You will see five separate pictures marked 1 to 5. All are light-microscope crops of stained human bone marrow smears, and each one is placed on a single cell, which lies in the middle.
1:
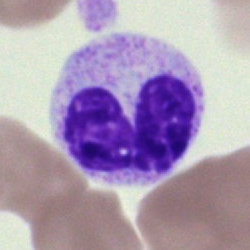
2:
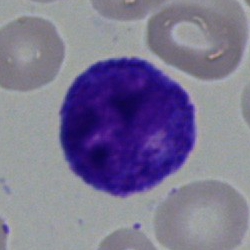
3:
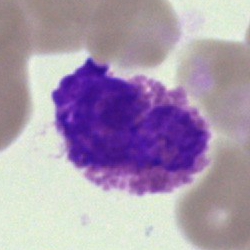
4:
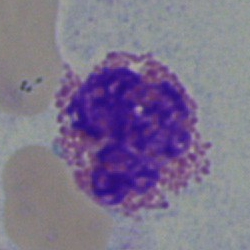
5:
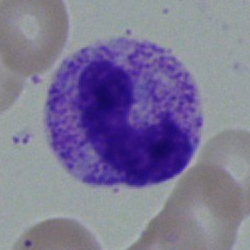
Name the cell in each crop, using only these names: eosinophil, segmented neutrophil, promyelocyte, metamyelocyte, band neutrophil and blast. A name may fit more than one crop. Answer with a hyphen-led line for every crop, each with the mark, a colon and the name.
- 1: band neutrophil
- 2: promyelocyte
- 3: eosinophil
- 4: eosinophil
- 5: band neutrophil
